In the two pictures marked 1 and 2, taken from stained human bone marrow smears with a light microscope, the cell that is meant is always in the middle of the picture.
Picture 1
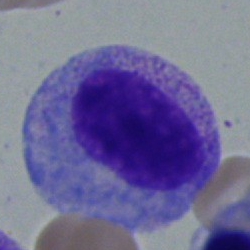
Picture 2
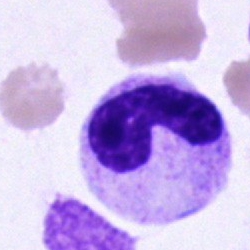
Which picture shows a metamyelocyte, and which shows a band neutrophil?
1: metamyelocyte
2: band neutrophil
